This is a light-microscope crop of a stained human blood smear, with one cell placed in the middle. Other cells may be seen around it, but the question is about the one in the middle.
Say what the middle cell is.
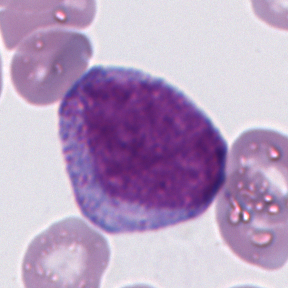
promyelocyte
